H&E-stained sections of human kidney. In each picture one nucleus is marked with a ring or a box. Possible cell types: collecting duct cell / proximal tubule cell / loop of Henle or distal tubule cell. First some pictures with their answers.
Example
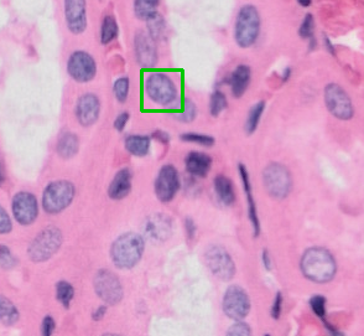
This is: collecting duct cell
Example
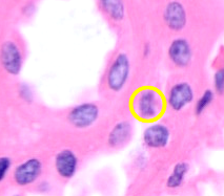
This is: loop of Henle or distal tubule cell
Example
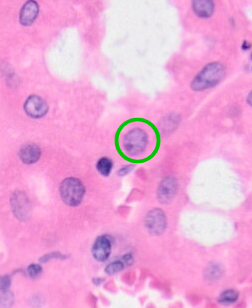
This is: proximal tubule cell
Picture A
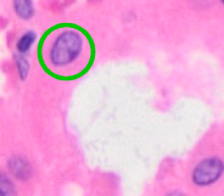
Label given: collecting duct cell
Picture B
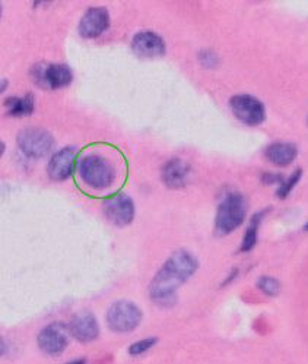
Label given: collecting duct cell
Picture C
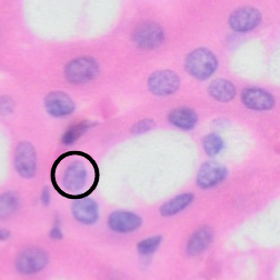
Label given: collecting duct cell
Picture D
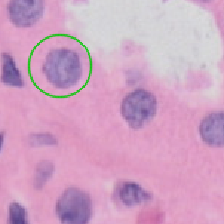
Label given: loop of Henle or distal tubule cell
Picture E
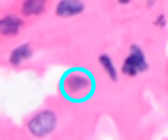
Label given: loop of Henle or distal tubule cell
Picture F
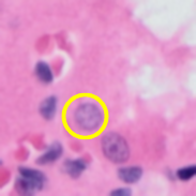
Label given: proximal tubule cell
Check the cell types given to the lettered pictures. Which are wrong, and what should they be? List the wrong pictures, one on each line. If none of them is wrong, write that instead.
A should be proximal tubule cell, not collecting duct cell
